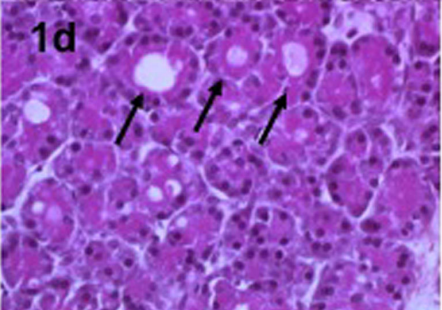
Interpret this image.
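Exocrine pancreatic tissue made of acinar cells grouped in rounded acini with deeply pink cytoplasm and round dark purple nuclei set toward the base of each cell. Thin pale strands of connective tissue separate the acini. In several acini the central lumen is unusually wide and clear, forming a round empty space ringed by cells that look lower and more flattened than their neighbours, giving these units a duct-like appearance. Such widening of acinar lumens with flattening of the lining cells is the picture of acinoductal metaplasia, in which acinar units take on the look of small ducts.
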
